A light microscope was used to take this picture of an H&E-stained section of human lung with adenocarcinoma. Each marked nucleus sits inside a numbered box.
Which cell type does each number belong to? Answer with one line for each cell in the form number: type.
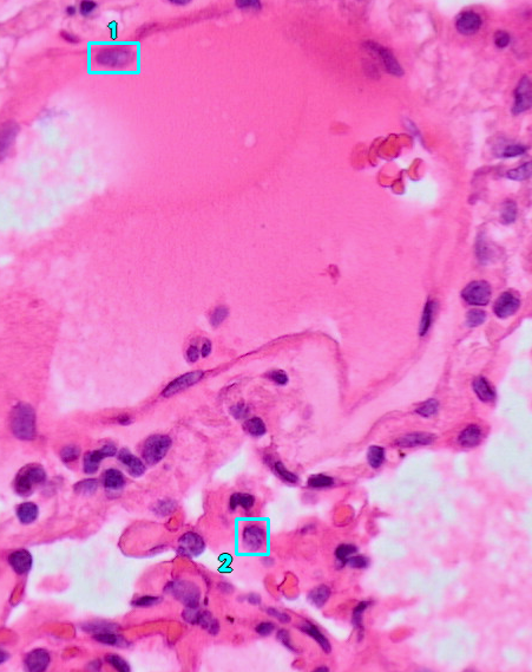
1: endothelial cell
2: type I pneumocyte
